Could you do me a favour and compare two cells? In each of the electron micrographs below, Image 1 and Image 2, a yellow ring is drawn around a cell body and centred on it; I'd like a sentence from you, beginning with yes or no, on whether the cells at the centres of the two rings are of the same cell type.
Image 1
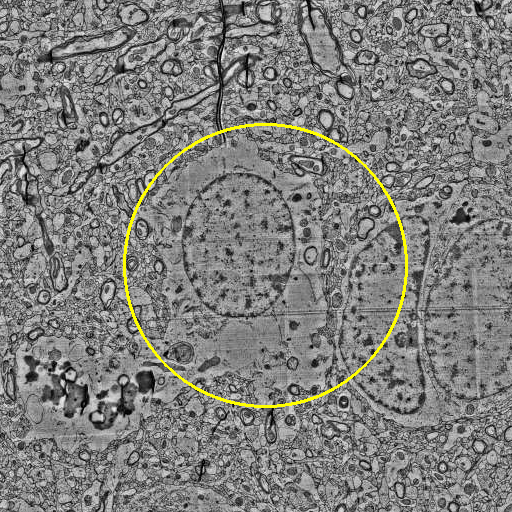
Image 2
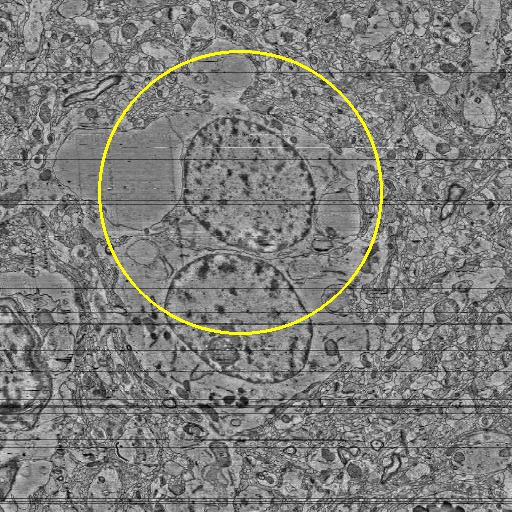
Yes, the two cells are of the same cell type.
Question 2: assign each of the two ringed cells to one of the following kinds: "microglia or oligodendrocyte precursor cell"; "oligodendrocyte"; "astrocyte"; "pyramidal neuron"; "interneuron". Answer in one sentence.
Each of the two pictures has an astrocyte at the ring centre.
